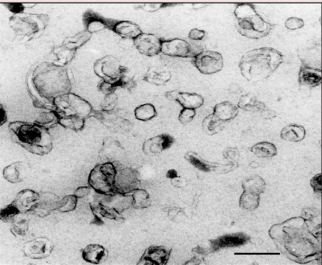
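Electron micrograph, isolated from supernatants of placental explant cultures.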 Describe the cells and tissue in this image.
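The vesicles are round, oval or cup-shaped and vary somewhat in size. Each is outlined by a thin, dark-contrasted membrane, and some appear collapsed or irregular. They lie scattered singly or in small loose groups on a pale background, and a few dark, densely stained particles lie among them.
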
